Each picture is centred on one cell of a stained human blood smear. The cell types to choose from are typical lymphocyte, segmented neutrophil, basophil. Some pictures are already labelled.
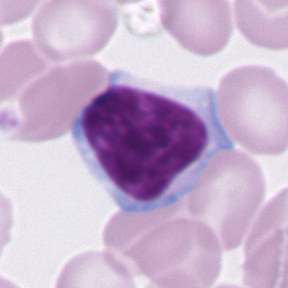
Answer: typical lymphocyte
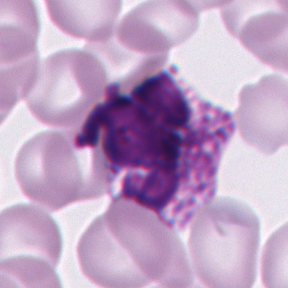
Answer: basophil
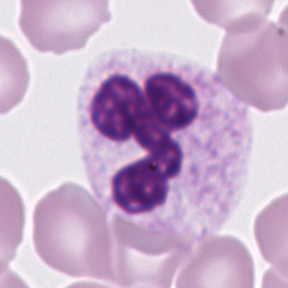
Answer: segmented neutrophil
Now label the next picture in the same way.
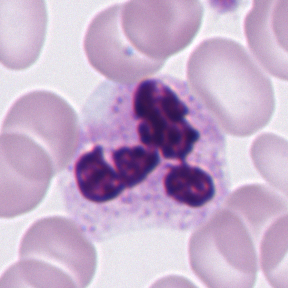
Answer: segmented neutrophil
